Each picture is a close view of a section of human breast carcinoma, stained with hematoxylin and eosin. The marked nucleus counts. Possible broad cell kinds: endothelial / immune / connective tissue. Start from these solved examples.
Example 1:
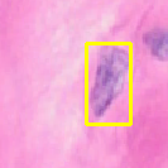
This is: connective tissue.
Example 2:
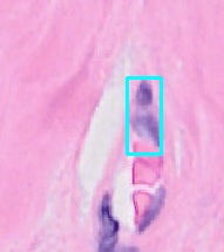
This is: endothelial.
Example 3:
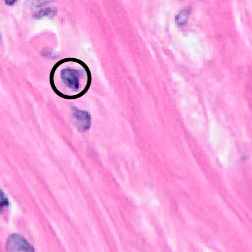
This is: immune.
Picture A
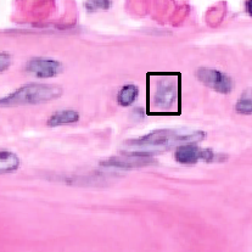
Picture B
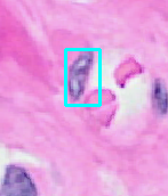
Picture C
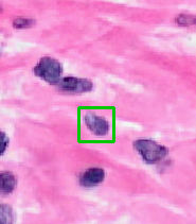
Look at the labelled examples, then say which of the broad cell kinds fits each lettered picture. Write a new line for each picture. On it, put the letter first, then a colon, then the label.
A: endothelial.
B: endothelial.
C: immune.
